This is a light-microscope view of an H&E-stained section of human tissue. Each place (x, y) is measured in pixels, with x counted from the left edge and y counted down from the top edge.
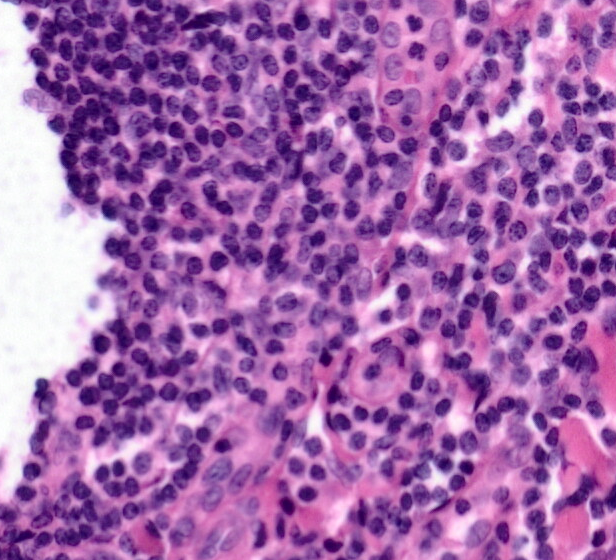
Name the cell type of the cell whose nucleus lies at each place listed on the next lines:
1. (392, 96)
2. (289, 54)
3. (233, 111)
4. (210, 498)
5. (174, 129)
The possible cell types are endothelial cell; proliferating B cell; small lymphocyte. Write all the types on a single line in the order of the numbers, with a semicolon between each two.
endothelial cell; small lymphocyte; small lymphocyte; endothelial cell; small lymphocyte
